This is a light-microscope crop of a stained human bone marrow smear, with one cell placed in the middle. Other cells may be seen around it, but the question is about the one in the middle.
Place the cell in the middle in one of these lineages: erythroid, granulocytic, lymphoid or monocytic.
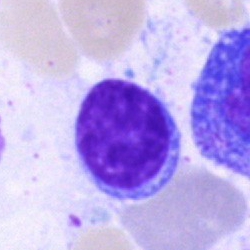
lymphoid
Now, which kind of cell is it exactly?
lymphocyte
